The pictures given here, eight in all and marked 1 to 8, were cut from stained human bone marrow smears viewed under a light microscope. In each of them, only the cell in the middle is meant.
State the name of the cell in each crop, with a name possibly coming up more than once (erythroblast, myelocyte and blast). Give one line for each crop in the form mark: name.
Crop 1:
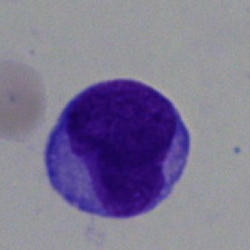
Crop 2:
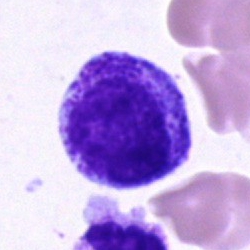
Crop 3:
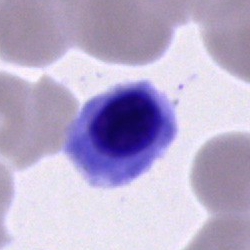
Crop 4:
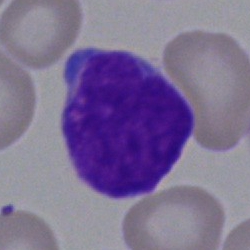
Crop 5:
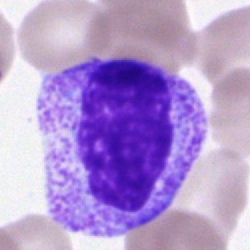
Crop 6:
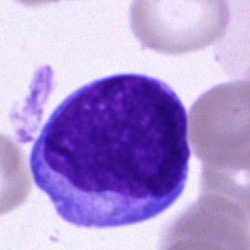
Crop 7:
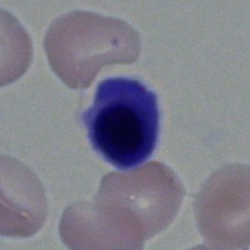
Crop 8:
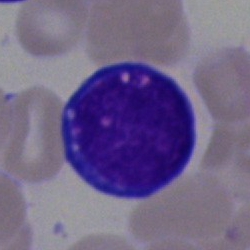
1: blast
2: myelocyte
3: erythroblast
4: blast
5: myelocyte
6: blast
7: erythroblast
8: blast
